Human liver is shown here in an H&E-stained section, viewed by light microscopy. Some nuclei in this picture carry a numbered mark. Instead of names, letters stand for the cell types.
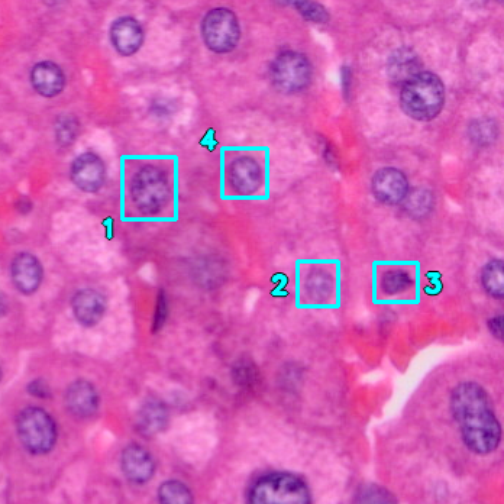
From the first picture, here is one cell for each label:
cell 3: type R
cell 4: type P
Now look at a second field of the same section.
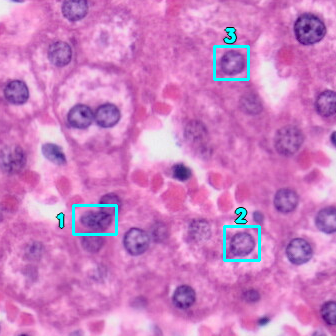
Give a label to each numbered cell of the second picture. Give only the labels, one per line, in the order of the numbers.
type R
type P
type P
